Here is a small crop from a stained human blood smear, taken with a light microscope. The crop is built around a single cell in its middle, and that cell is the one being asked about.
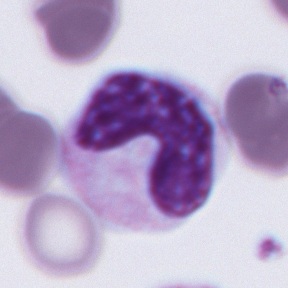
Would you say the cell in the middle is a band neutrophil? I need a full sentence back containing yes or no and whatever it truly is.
Yes, the cell at the heart of the crop is a band neutrophil.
